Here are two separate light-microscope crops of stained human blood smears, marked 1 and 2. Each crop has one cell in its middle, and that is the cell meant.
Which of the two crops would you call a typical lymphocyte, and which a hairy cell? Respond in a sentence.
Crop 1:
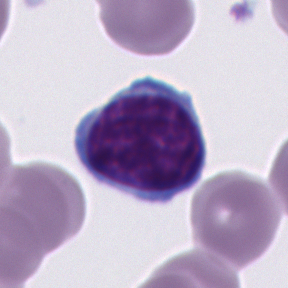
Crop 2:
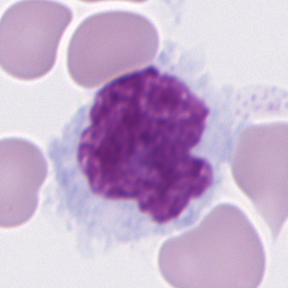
Found in crop 1 is a typical lymphocyte; found in crop 2 is a hairy cell.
